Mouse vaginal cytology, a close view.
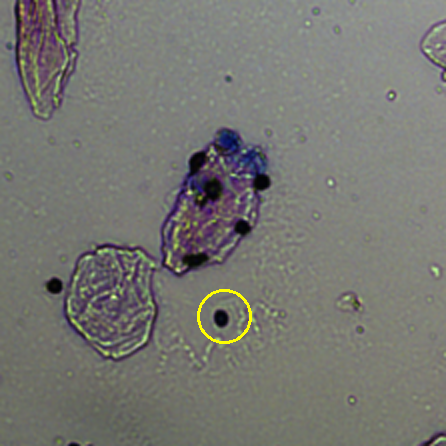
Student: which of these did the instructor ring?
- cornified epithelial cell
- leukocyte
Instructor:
The cell I ringed is a leukocyte.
